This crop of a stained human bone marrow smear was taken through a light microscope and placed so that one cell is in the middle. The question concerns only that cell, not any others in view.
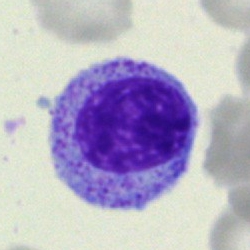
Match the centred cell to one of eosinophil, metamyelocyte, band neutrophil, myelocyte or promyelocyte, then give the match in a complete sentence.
Located at the centre of the crop is a myelocyte.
